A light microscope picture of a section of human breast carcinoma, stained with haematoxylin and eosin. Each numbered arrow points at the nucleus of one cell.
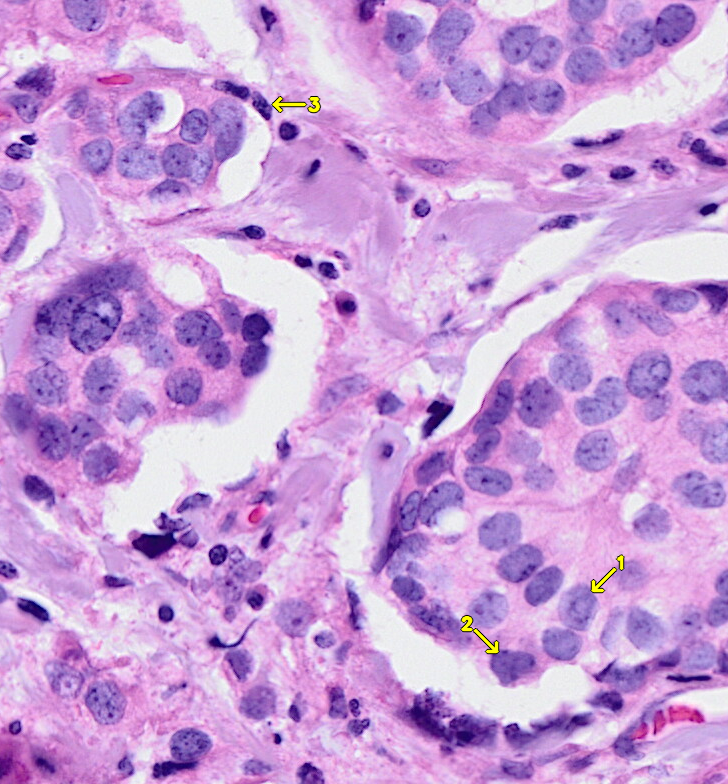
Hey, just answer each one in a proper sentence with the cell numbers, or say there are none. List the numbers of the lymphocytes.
Cell number 3 alone is a lymphocyte; the rest are not.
